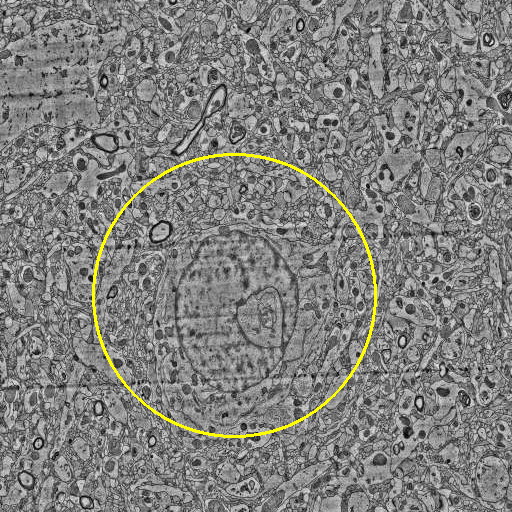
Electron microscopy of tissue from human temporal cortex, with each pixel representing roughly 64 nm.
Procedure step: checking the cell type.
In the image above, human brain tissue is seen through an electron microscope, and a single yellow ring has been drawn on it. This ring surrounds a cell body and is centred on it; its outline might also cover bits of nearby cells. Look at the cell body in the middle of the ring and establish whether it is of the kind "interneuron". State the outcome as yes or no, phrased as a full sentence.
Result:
Yes, the cell body at the ring's centre in the image is of the kind in question.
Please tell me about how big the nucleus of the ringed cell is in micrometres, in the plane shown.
In this plane the nucleus measures roughly 10 by 8 micrometres.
